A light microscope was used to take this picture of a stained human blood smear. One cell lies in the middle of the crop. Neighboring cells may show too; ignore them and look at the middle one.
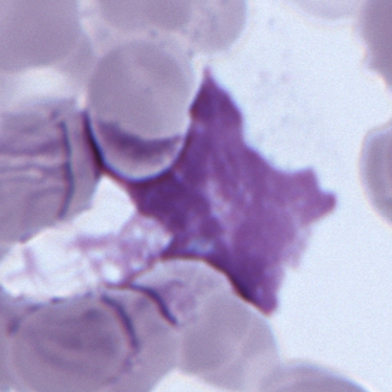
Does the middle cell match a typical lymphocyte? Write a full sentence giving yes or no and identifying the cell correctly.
No, what the centre of the crop shows is a smudge cell, not a typical lymphocyte.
